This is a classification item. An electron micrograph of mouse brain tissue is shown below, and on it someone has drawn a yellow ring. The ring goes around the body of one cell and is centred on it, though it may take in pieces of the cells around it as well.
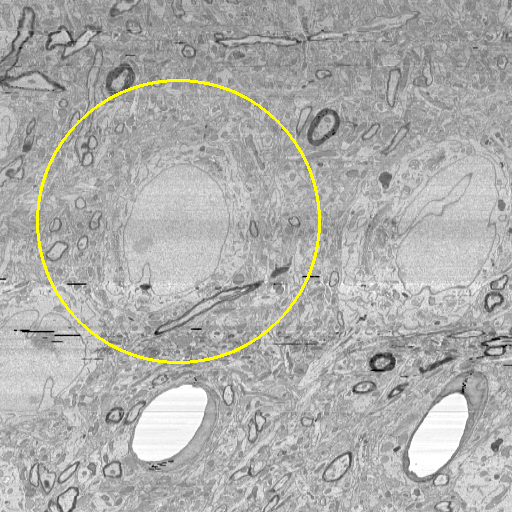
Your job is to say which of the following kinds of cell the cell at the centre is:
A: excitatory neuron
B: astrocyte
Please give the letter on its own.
A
